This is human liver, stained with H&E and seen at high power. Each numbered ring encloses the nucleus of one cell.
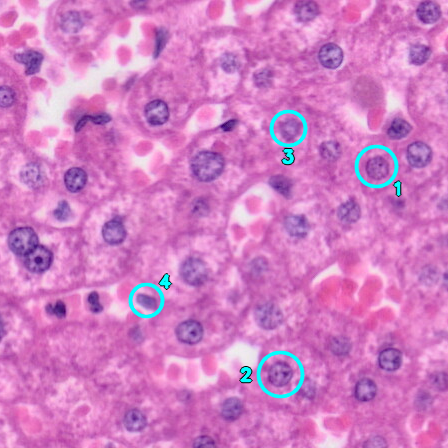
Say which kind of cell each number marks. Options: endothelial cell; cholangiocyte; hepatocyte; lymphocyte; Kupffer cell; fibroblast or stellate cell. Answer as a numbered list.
1. hepatocyte
2. hepatocyte
3. hepatocyte
4. lymphocyte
